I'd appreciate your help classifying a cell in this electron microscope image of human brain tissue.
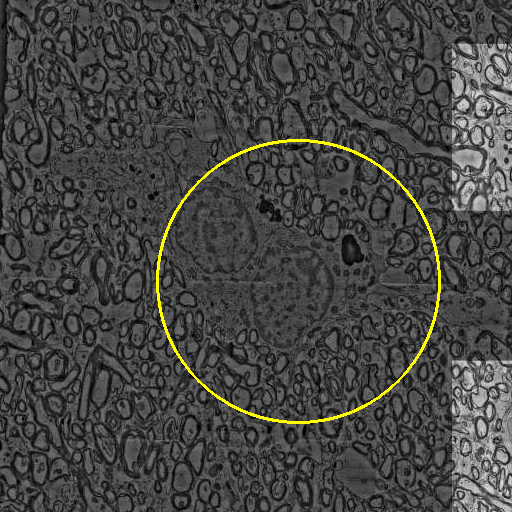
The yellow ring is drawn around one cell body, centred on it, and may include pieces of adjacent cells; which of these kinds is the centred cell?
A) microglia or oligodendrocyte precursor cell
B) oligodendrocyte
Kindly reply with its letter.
B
